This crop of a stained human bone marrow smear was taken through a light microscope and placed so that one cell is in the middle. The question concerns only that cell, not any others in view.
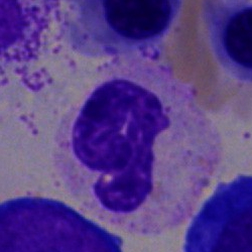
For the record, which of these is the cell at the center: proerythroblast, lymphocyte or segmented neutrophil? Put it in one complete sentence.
The cell marked by its central position in the crop is a segmented neutrophil.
